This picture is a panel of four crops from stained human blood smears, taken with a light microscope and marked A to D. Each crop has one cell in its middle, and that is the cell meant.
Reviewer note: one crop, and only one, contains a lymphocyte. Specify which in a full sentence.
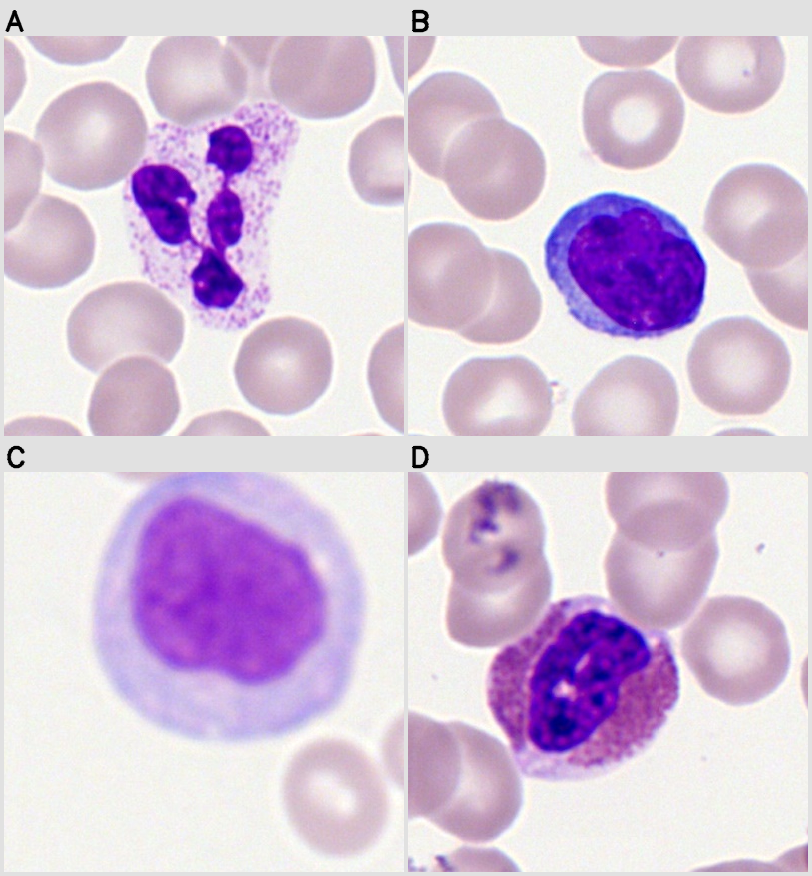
On review of the set, crop B is the one showing a lymphocyte.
